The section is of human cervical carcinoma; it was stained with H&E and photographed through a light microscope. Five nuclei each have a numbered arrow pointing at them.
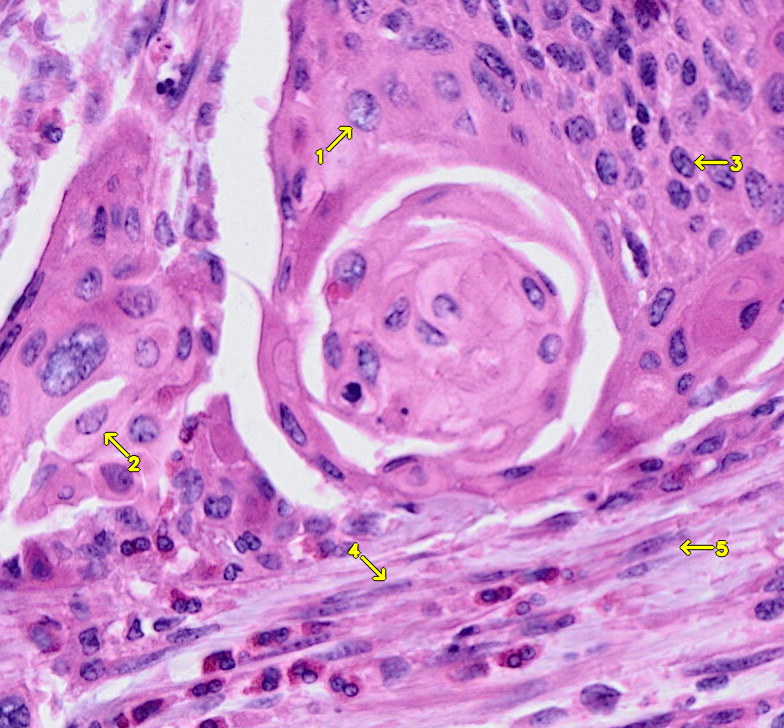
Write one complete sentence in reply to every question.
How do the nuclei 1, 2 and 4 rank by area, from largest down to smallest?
From largest to smallest, the order is 1, 2, 4.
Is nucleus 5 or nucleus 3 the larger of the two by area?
At about 1.5 times the area of nucleus 3, nucleus 5 is the larger of the two.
